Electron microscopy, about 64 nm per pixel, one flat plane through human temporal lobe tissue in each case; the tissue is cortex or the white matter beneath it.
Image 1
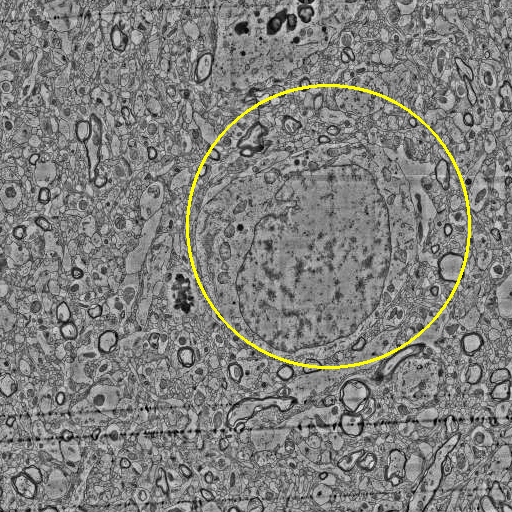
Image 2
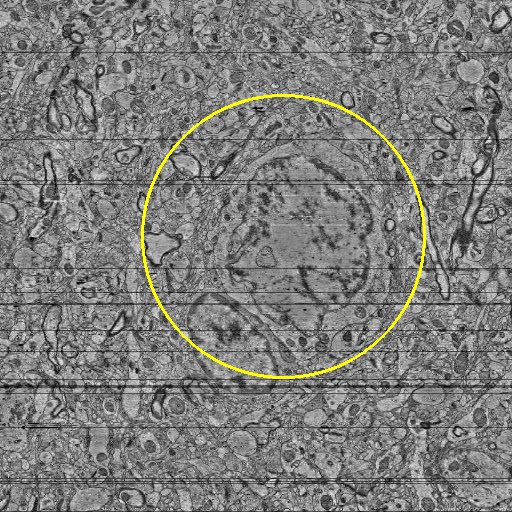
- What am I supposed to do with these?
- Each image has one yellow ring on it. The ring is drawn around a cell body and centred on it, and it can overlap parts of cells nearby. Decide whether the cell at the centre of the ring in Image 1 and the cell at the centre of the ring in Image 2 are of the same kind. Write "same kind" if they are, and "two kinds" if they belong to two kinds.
two kinds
